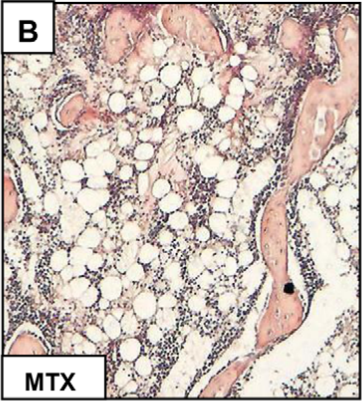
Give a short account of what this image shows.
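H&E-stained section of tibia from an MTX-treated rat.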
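The adipocytes are packed closely against one another and occupy most of the marrow space on the left and centre of the field. Between them lie scattered small cells with dark purple nuclei, far sparser than in densely cellular marrow. Pink-stained bone trabeculae run along the right side of the field, containing small dark nuclei within the bone.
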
